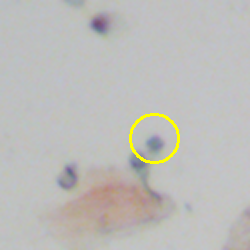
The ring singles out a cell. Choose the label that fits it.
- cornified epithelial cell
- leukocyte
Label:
leukocyte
